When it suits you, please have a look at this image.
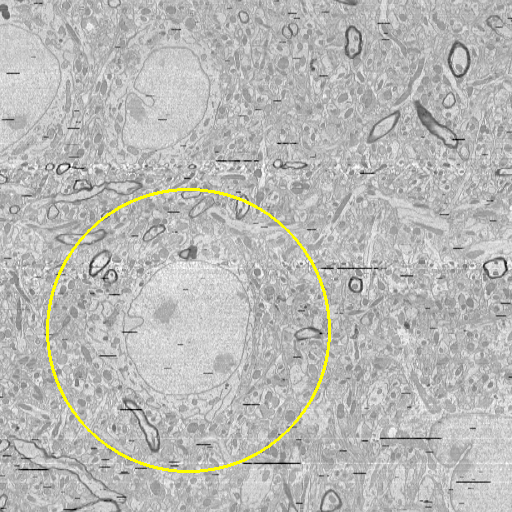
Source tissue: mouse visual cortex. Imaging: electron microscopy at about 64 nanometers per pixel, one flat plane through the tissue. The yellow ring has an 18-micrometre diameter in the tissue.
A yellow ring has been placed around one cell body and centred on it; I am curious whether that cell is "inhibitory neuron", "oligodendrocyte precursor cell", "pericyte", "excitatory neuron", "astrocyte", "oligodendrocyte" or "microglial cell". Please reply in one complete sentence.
The ringed cell, an excitatory neuron, has its body at the centre of the yellow ring.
